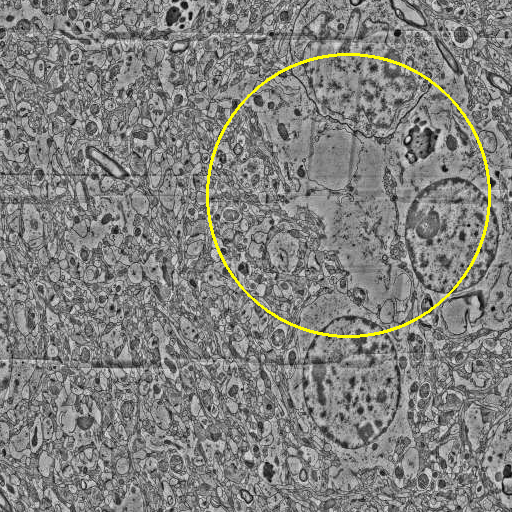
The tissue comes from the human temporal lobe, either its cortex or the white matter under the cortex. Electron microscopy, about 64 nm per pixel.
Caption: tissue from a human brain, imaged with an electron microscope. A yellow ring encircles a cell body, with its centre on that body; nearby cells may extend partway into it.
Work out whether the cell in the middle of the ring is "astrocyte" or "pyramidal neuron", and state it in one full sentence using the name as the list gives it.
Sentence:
In the picture, the cell that the yellow ring surrounds at its centre is an astrocyte.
